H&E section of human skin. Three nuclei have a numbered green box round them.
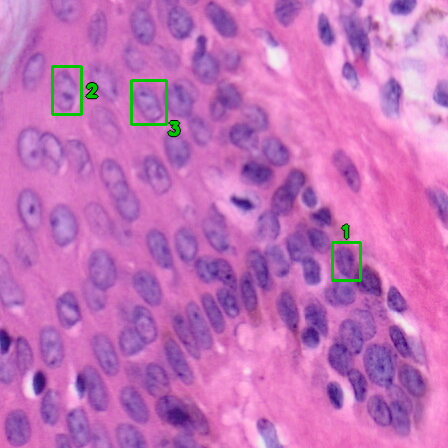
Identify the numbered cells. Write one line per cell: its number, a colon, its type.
1: basal keratinocyte
2: suprabasal keratinocyte
3: suprabasal keratinocyte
